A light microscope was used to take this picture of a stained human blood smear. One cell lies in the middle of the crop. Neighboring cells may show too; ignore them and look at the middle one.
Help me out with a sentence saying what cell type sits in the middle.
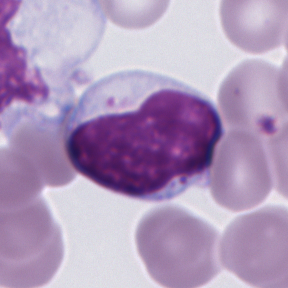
The cell around which this crop is centred is a large granular lymphocyte.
